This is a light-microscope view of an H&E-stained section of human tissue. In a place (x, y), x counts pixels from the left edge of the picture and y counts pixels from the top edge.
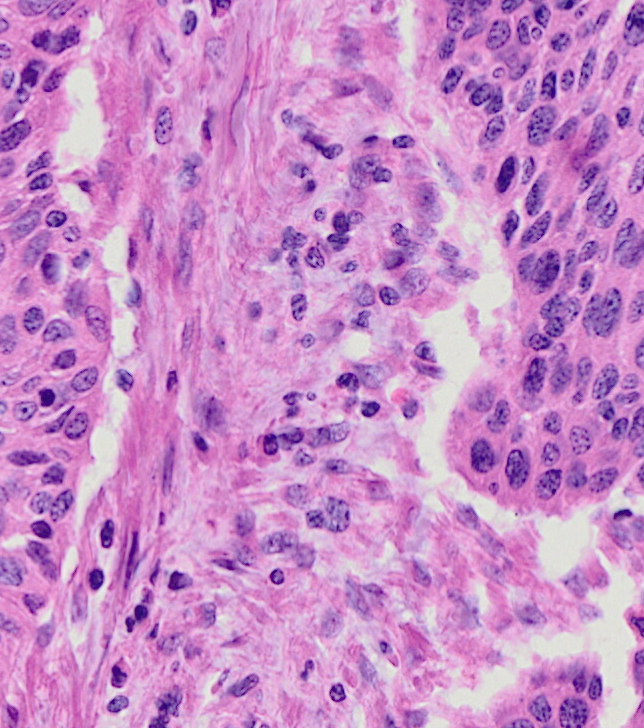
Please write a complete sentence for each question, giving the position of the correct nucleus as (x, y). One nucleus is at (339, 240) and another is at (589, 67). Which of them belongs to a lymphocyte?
It is the nucleus at (339, 240) that belongs to a lymphocyte.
